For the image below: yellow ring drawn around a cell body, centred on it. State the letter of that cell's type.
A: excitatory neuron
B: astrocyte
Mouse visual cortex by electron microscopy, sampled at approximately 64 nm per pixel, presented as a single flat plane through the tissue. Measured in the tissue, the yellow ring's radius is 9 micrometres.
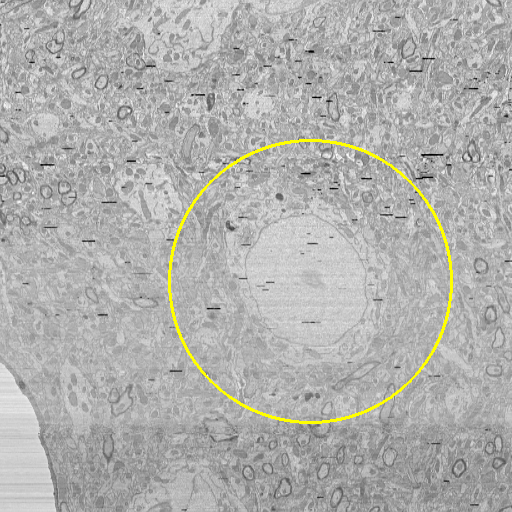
A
